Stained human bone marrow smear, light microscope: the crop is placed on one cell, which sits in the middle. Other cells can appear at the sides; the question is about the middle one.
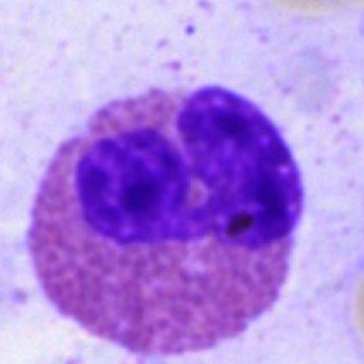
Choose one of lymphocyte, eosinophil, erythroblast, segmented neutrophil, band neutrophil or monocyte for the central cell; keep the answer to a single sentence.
At the center of the crop sits an eosinophil.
